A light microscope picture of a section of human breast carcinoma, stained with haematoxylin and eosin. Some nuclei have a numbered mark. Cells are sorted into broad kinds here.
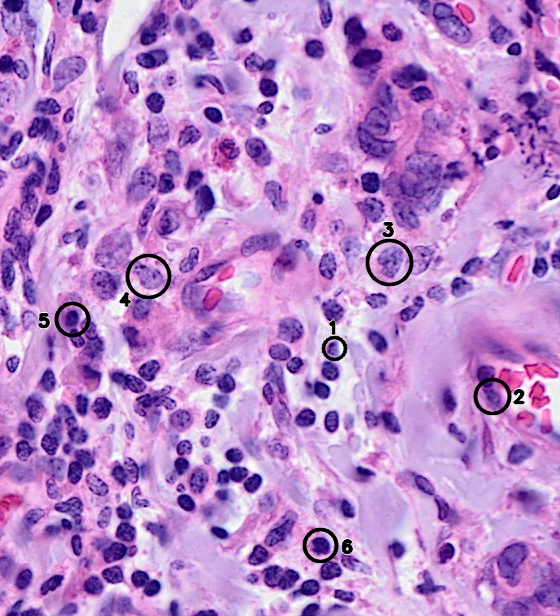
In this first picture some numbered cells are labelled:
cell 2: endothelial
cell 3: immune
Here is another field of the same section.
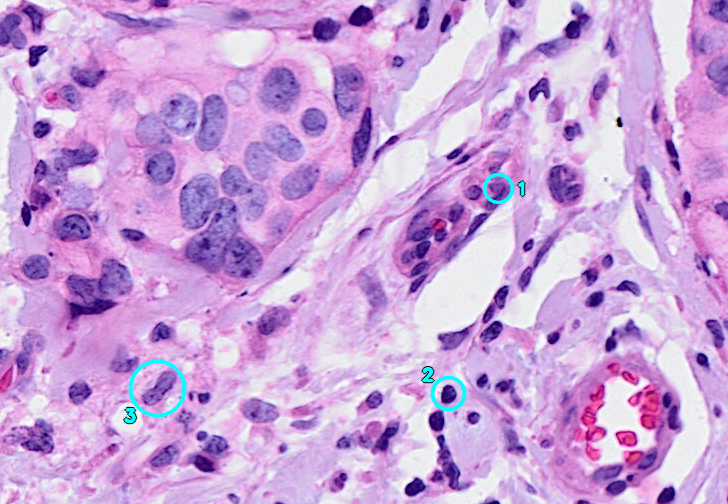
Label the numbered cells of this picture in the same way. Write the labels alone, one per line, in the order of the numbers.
endothelial
immune
immune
